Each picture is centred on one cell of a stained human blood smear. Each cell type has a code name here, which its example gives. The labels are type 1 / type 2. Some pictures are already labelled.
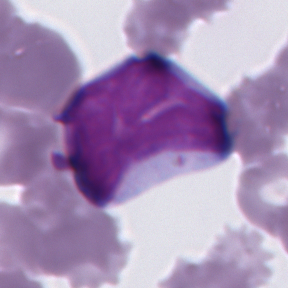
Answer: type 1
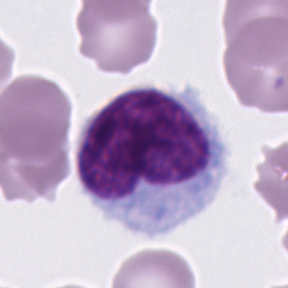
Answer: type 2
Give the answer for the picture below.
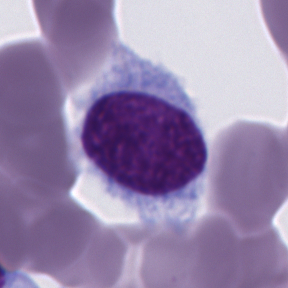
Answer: type 2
